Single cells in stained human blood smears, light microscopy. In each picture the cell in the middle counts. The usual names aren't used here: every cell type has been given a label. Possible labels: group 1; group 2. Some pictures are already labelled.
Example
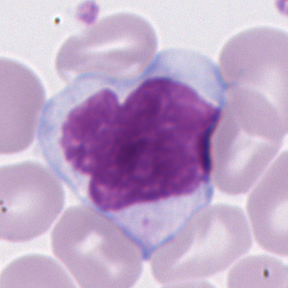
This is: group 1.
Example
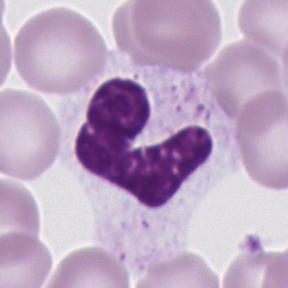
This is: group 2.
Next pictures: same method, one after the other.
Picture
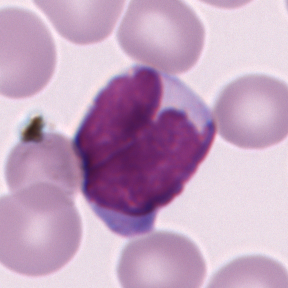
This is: group 1.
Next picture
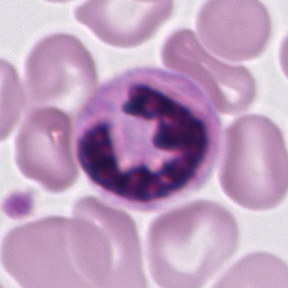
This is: group 2.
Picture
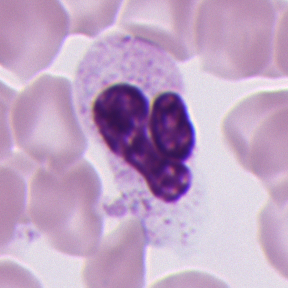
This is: group 2.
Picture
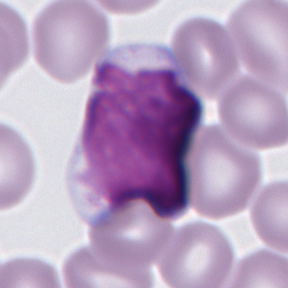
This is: group 1.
